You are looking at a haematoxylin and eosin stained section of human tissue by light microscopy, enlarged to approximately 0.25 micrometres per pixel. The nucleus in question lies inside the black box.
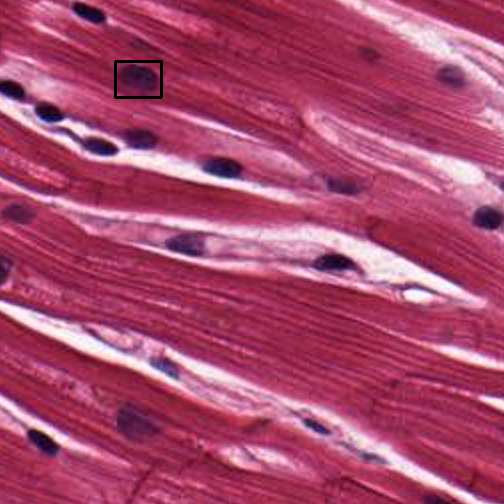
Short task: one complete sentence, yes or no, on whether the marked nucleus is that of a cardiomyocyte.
Yes, the nucleus singled out in the image belongs to a cardiomyocyte.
